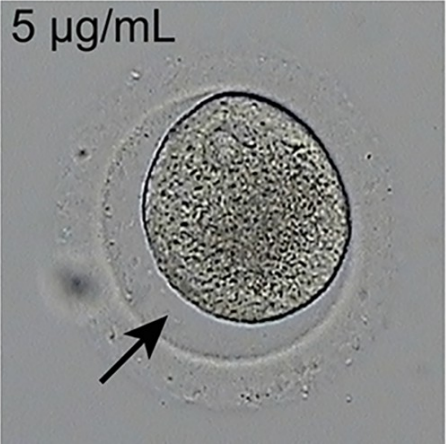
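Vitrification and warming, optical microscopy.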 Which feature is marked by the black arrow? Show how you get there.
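Large perivitelline space. A wide clear gap lies between the cell and its surrounding coat. The gap is widest at the lower side where the arrow points. The cell is smaller than the space enclosed by the coat.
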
